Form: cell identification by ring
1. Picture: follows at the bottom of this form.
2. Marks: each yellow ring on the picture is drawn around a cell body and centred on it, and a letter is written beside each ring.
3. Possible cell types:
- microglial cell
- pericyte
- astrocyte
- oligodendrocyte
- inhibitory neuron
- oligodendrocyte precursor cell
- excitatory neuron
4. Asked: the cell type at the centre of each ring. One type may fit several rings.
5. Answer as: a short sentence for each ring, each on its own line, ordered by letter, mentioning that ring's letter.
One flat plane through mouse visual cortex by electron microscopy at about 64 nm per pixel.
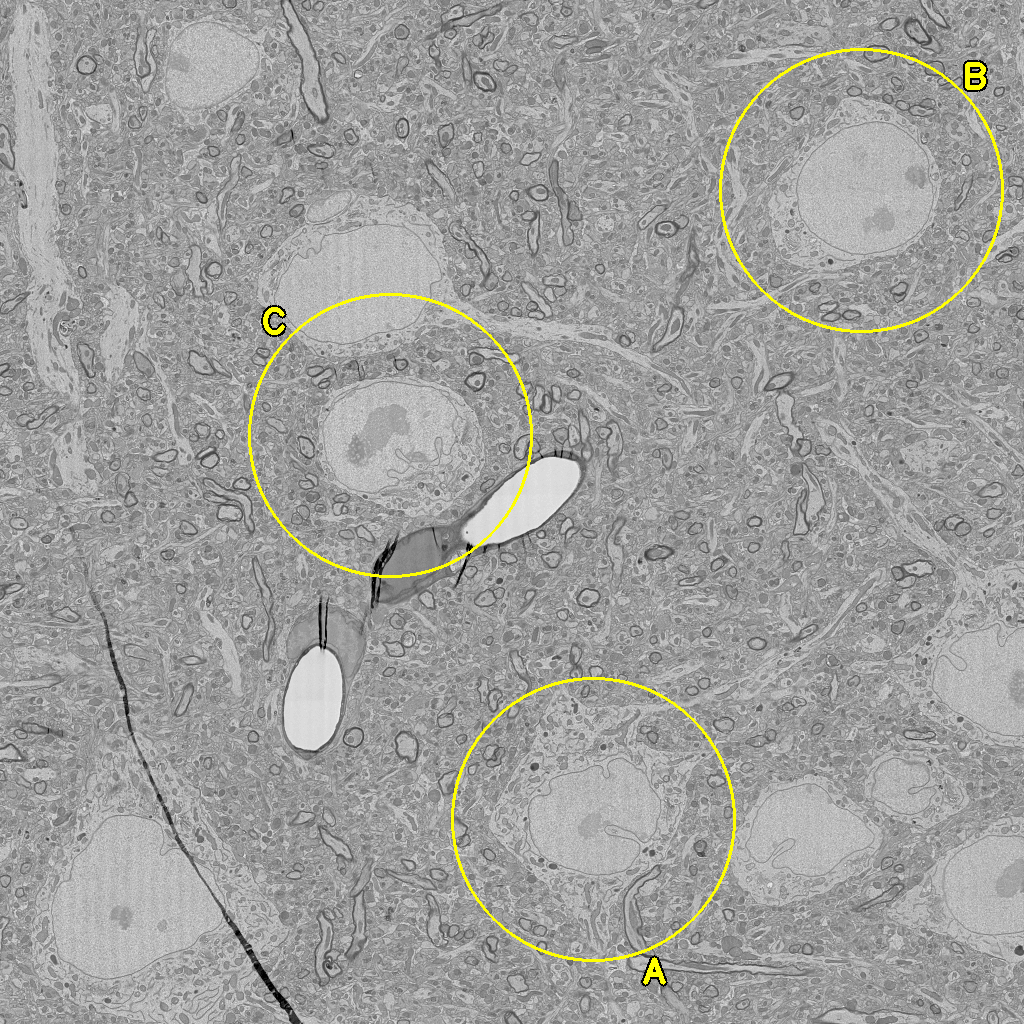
The cell at ring A's centre is an inhibitory neuron.
The cell at ring B's centre is an excitatory neuron.
The cell at ring C's centre is an inhibitory neuron.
